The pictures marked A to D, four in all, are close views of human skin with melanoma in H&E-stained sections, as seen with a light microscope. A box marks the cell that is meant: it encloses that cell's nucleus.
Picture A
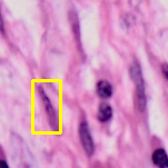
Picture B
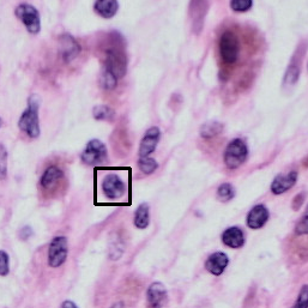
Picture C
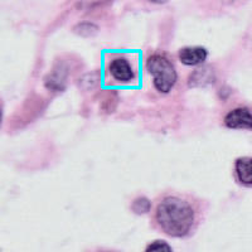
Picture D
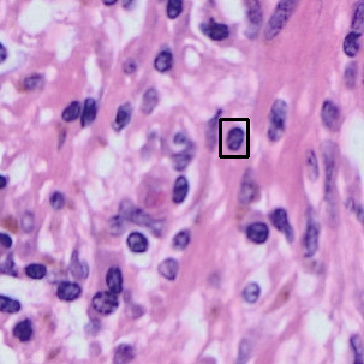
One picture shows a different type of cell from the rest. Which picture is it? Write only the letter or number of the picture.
A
